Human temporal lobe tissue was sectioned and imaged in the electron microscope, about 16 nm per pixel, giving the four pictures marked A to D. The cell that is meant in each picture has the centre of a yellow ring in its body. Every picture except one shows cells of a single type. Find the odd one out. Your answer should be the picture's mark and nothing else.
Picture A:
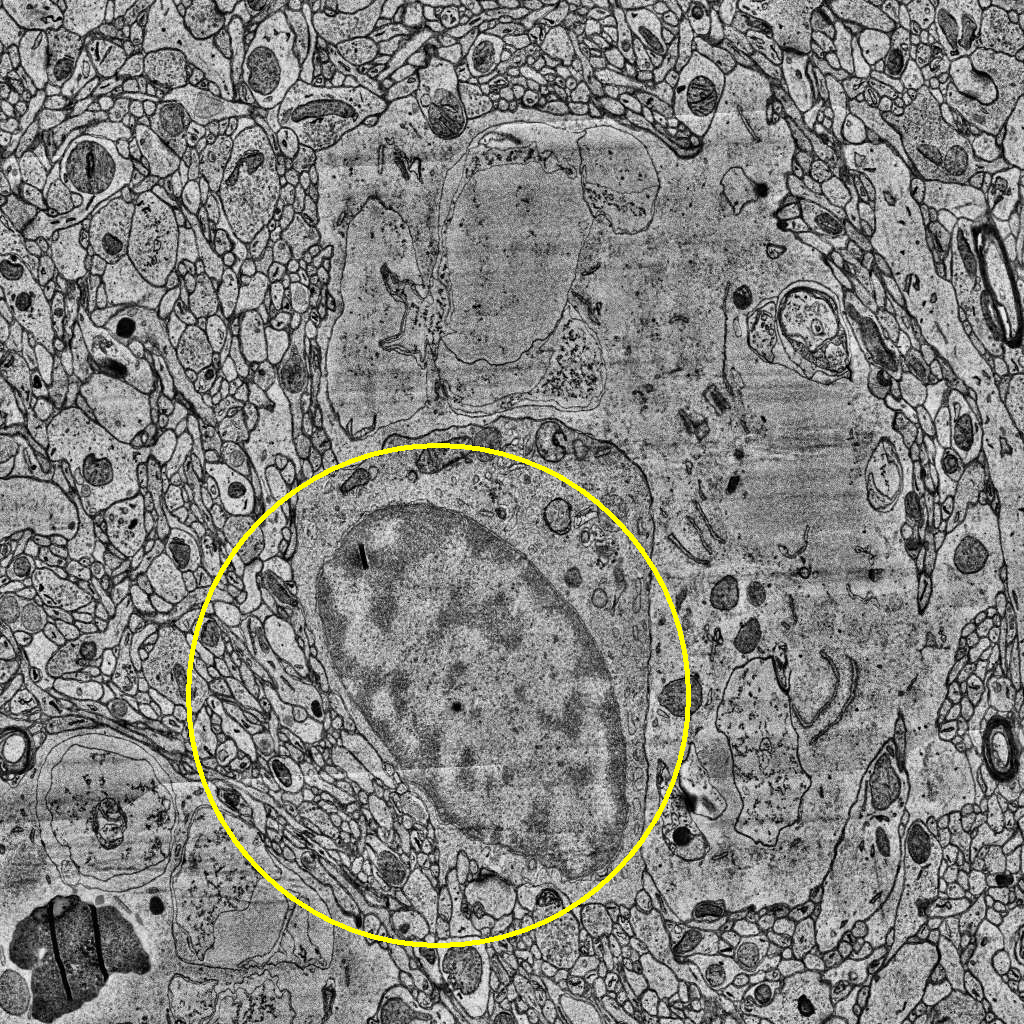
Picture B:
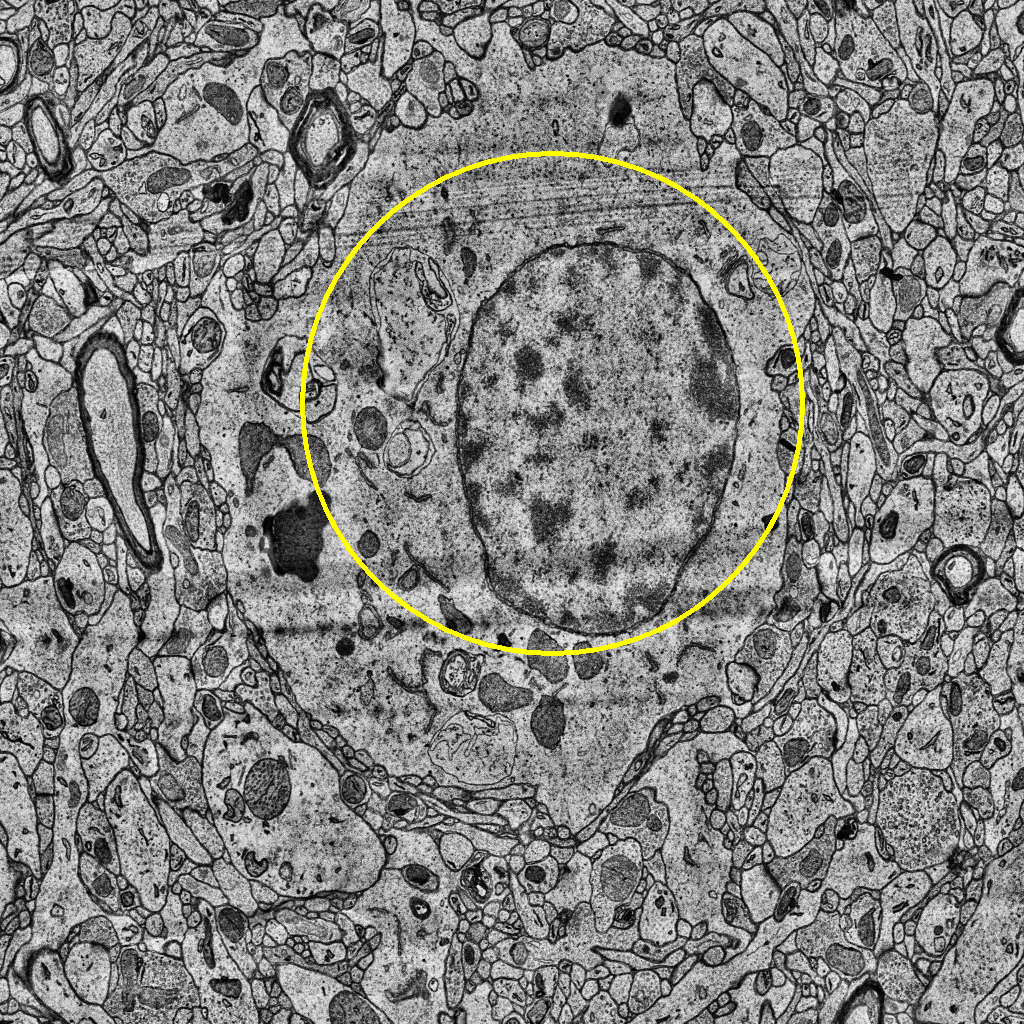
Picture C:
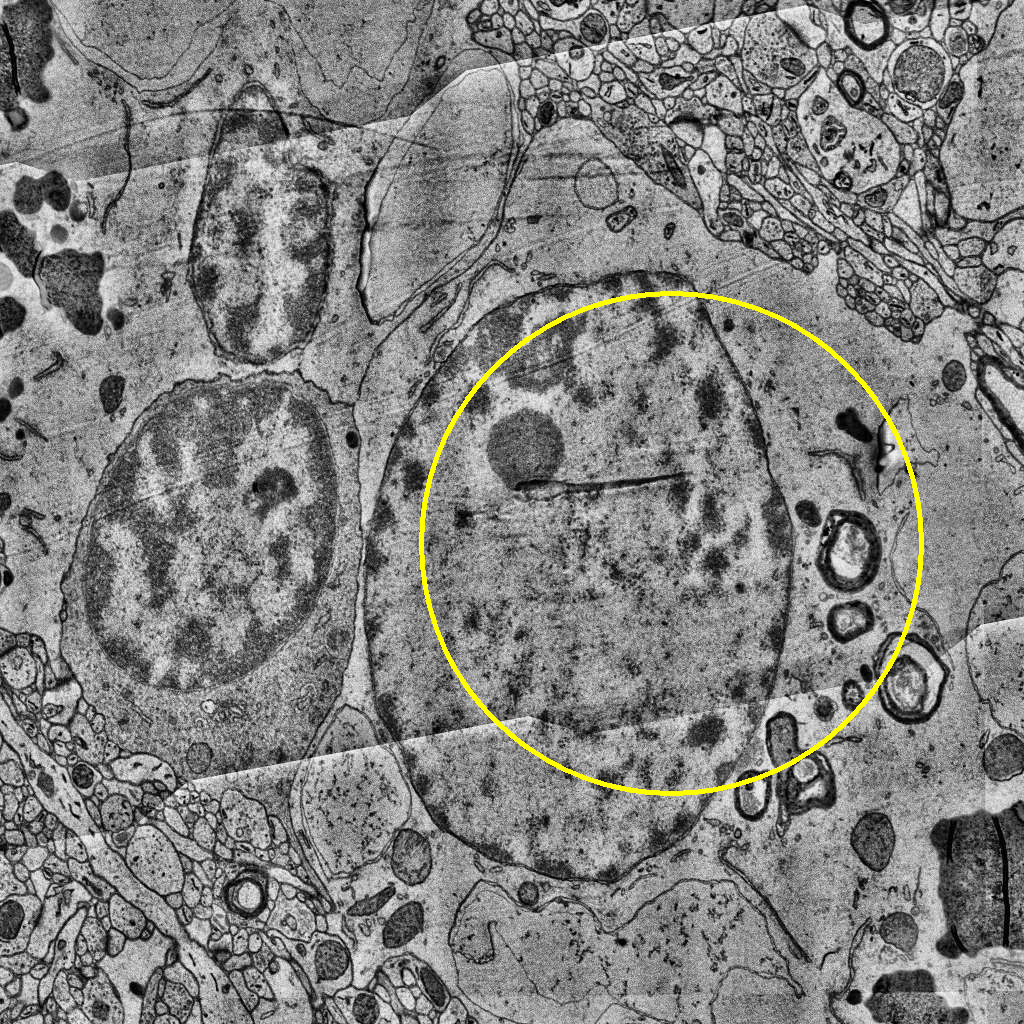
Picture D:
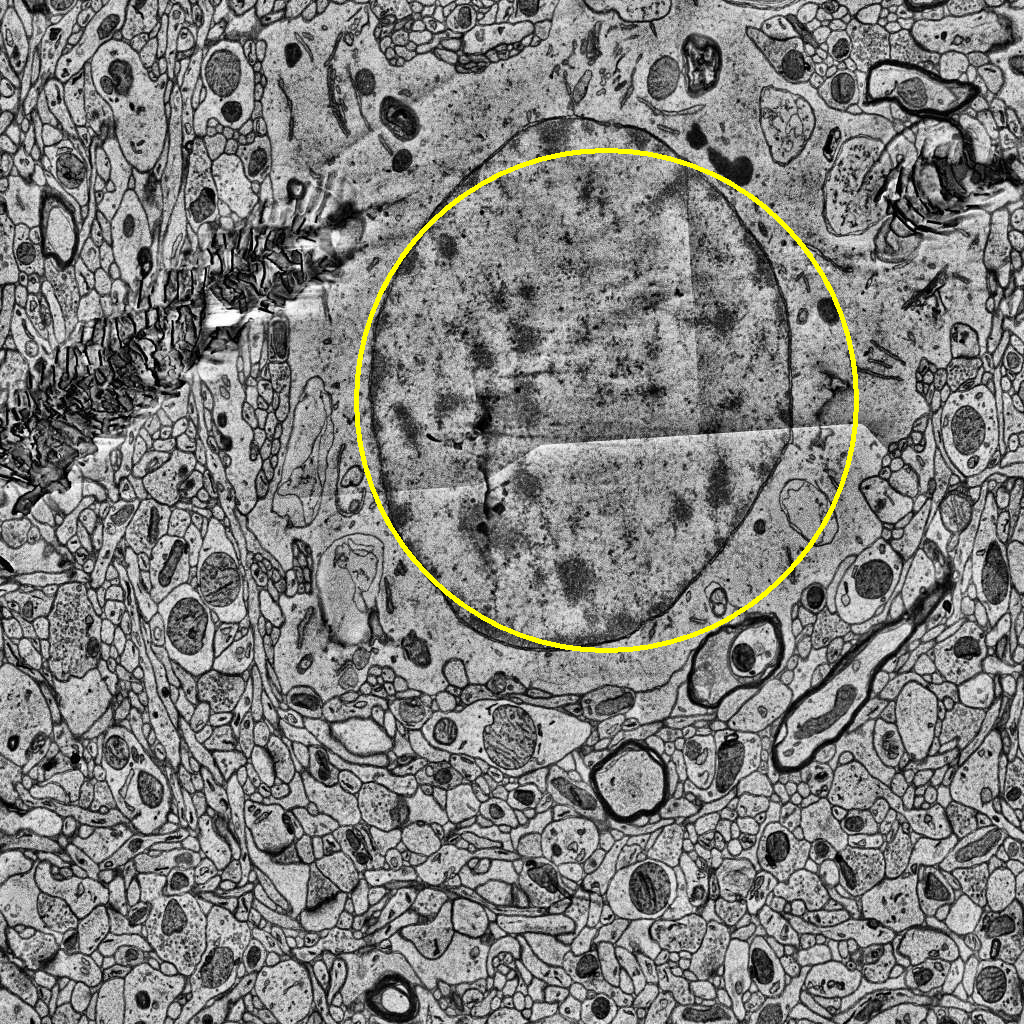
A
